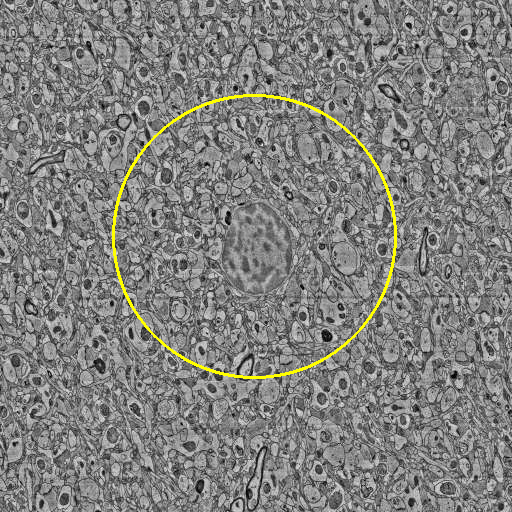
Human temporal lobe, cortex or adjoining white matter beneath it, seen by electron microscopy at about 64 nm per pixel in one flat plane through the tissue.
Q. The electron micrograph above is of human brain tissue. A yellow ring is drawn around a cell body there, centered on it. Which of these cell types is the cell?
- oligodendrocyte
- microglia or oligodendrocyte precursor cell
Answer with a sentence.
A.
The cell under the ring's center is an oligodendrocyte.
